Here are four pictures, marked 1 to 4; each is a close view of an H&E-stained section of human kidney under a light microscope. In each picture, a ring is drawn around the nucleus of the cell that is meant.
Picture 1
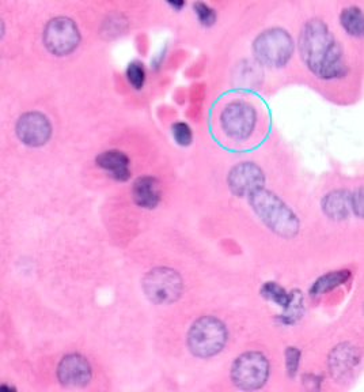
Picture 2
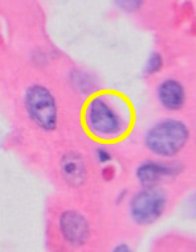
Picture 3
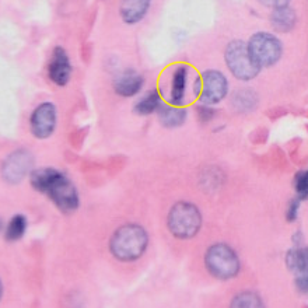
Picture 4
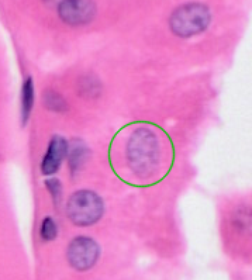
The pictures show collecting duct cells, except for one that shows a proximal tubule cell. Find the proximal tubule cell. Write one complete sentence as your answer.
The picture with the proximal tubule cell is 4.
